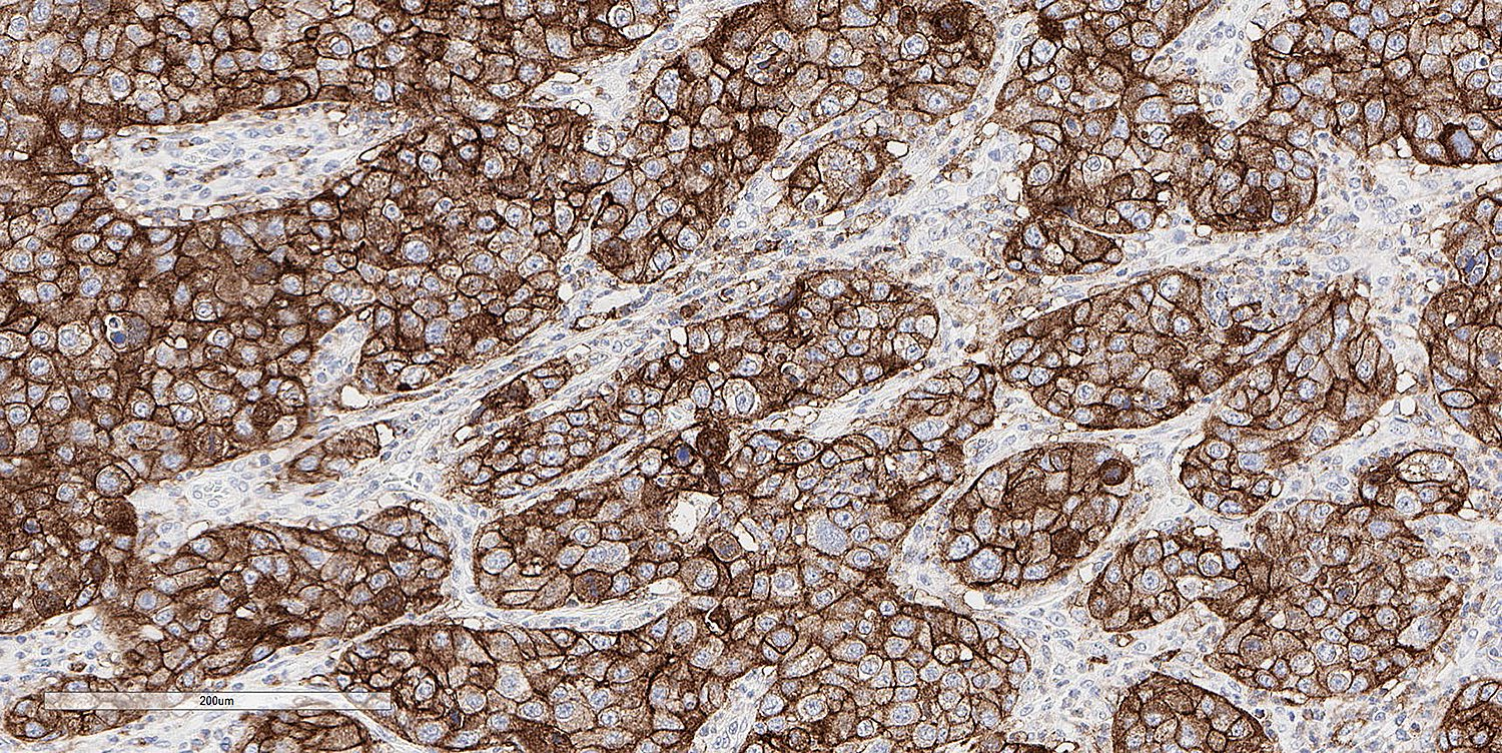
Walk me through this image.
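Solid nests and broad sheets of large tumor cells are separated by pale, thin bands of fibrous stroma. The tumor cells are polygonal and crowded. They have large round to oval vesicular nuclei, often with a distinct nucleolus, and a moderate amount of cytoplasm. Nearly every tumor cell shows strong brown staining. The stain forms a continuous line along the cell membrane, outlining each cell in a net-like pattern, with lighter brown in the cytoplasm.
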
